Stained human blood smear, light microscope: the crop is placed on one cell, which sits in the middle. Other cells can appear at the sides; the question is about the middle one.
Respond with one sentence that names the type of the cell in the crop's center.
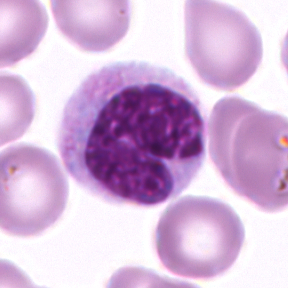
Centrally within this crop lies a band neutrophil.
